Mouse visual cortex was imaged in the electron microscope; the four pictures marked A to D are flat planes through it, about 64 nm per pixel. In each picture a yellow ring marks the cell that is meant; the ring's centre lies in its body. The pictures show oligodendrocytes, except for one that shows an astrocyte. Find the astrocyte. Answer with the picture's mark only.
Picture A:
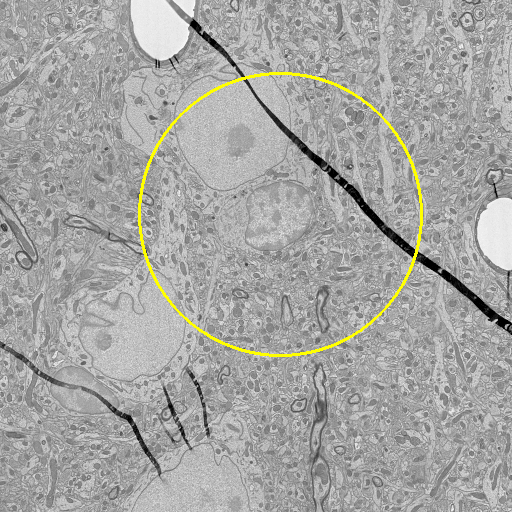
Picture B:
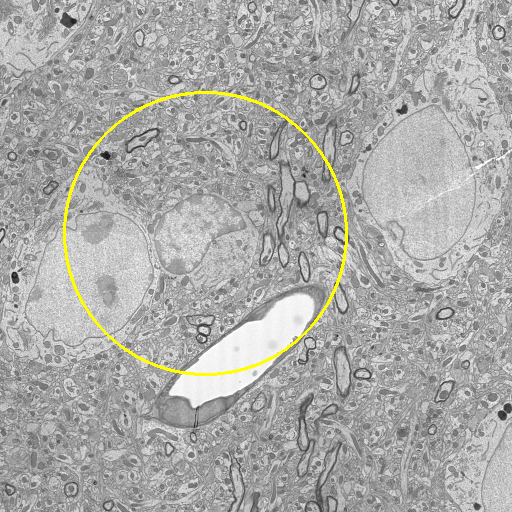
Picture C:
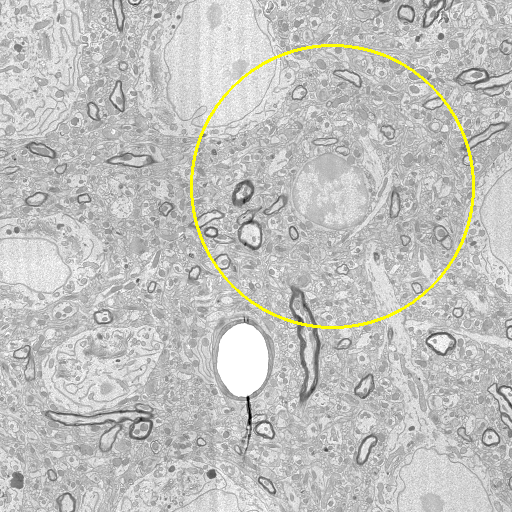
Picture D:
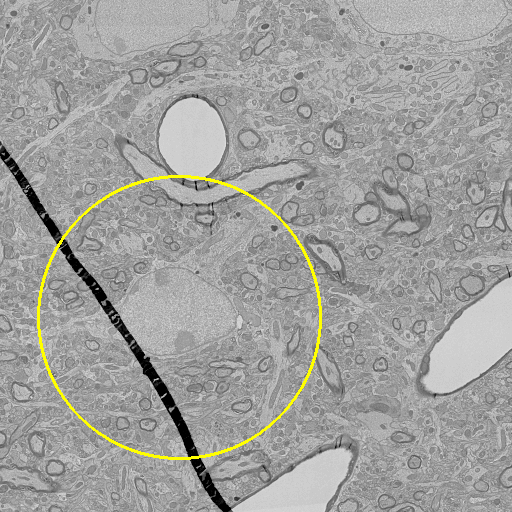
D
